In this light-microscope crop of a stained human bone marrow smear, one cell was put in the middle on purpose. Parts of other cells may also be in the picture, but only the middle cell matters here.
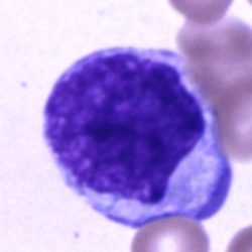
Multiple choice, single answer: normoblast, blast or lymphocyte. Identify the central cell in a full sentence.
Regarding the central cell, it is a blast.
